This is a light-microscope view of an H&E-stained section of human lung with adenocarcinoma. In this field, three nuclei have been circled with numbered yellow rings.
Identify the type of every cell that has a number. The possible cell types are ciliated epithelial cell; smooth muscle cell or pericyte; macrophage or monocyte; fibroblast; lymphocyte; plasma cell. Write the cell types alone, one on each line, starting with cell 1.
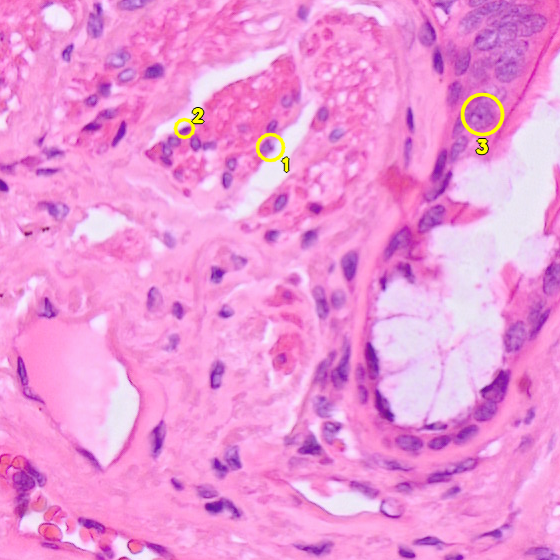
smooth muscle cell or pericyte
smooth muscle cell or pericyte
ciliated epithelial cell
